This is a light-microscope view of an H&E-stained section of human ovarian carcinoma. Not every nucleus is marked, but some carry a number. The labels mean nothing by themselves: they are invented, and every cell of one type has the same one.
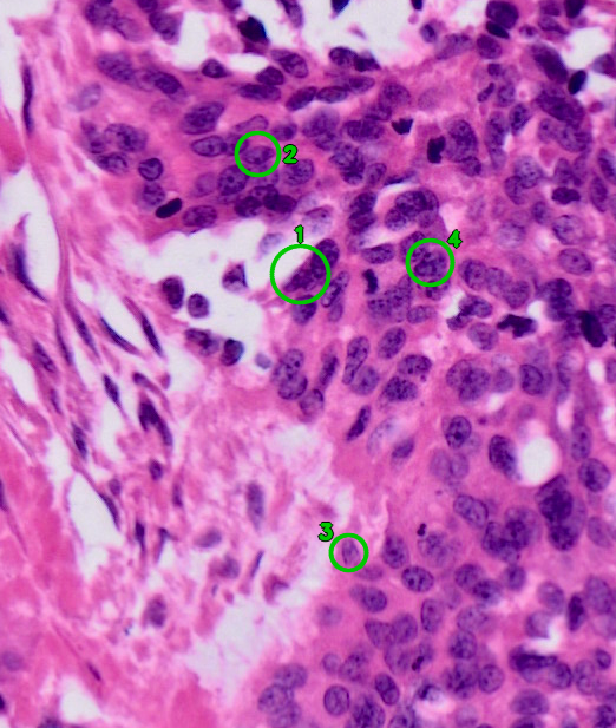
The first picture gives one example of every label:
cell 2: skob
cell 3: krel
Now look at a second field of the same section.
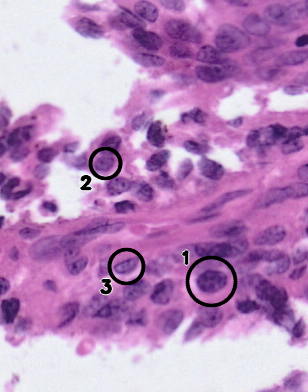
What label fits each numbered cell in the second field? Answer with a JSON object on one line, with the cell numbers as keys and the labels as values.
{"1": "skob", "2": "skob", "3": "krel"}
